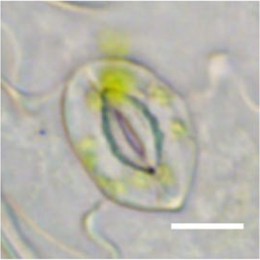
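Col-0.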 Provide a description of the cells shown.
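A stoma of the leaf epidermis is seen, made of two kidney-shaped guard cells lying face to face around a narrow slit-like pore. Together the guard cells form an oval outline with thick inner walls lining the pore. Small yellow-green granules are scattered in the guard cells around the pore. Around the stoma lie epidermal cells with thin, wavy walls fitting together like puzzle pieces.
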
